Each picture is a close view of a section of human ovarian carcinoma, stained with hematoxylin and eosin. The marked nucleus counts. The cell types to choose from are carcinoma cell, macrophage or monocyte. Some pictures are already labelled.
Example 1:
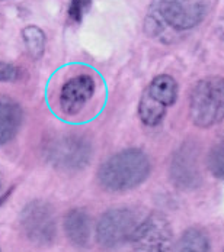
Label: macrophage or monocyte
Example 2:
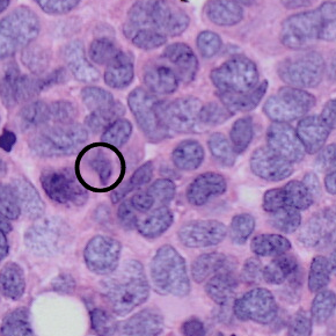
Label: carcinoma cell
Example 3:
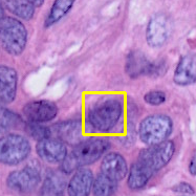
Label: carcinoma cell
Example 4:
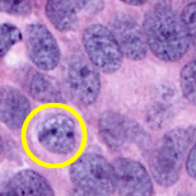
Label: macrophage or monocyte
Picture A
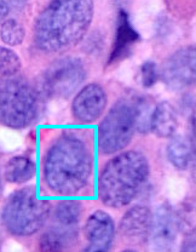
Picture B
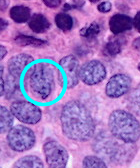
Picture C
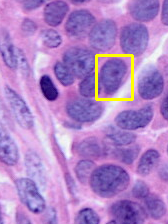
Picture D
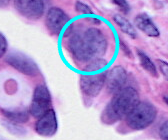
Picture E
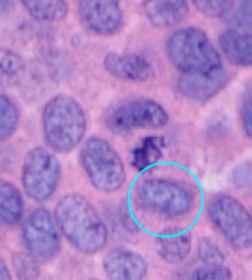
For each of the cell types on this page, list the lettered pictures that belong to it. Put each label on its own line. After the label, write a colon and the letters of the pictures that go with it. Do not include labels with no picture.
carcinoma cell: A, B, C, D, E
